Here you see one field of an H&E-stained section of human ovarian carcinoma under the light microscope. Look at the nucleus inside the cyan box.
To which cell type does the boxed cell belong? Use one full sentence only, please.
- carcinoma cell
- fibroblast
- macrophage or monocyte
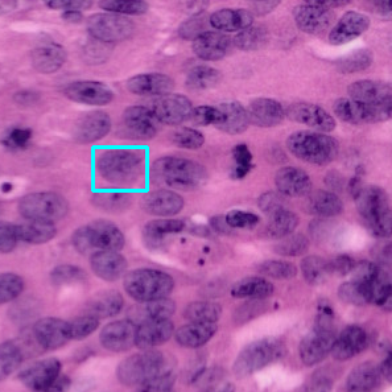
Recorded by type, the boxed cell is a carcinoma cell.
